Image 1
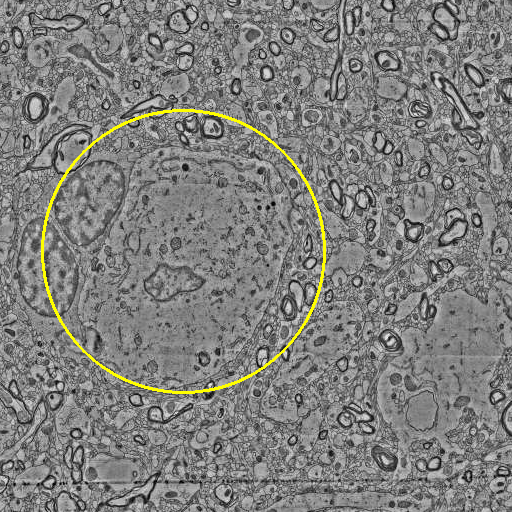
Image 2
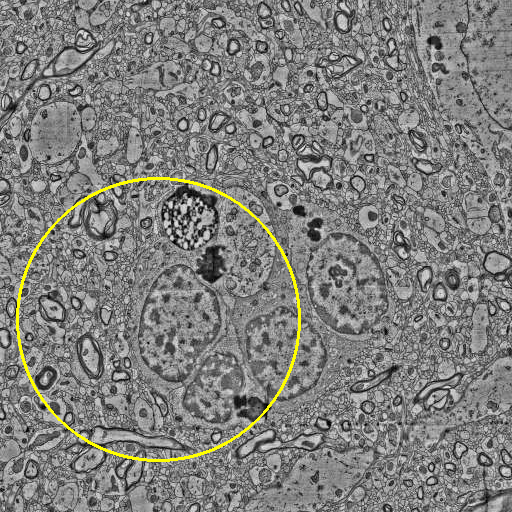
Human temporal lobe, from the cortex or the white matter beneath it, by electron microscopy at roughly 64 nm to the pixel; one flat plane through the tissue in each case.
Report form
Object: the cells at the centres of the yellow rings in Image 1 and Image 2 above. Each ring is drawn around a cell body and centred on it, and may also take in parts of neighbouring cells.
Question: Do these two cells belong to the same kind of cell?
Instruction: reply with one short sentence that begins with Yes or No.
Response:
No, they belong to two kinds of cell.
